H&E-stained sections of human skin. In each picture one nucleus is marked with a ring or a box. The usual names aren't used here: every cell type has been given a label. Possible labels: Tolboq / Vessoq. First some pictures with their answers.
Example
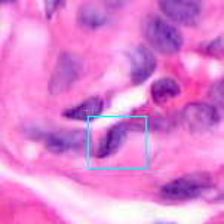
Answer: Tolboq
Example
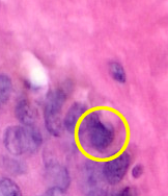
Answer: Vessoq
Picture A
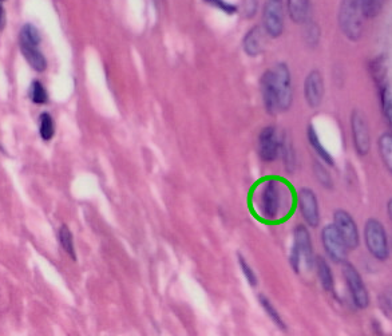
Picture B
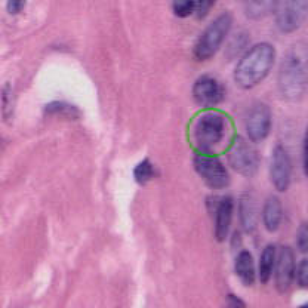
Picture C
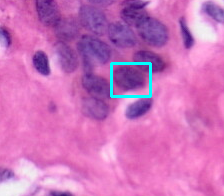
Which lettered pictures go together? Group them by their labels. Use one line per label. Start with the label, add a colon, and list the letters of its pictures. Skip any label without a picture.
Vessoq: A, B, C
